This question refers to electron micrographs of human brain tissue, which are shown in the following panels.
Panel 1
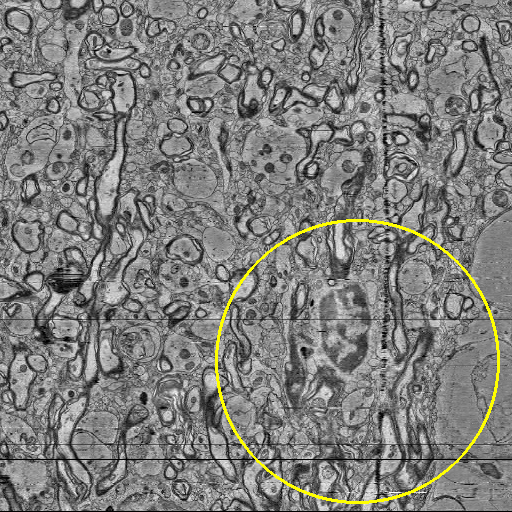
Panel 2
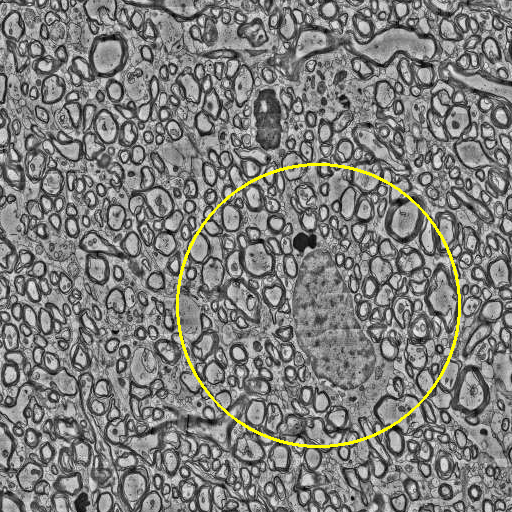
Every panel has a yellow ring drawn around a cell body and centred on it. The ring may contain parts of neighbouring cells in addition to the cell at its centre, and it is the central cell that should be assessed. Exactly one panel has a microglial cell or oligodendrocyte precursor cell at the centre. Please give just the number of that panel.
1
